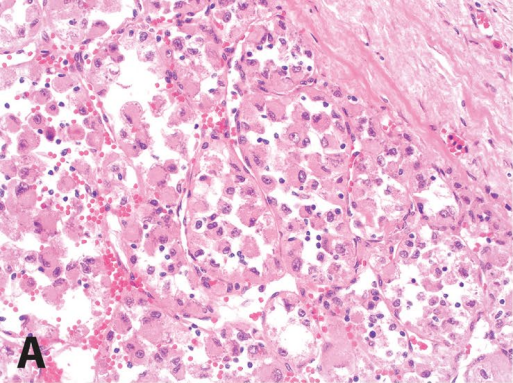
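Tumour of epithelioid cells arranged in alveolar nests separated by thin fibrovascular septa with red blood cells. The cells are polygonal with abundant pink cytoplasm and round nuclei, and within nest centres they lie loosely apart, giving a discohesive appearance. Dense pink collagenous stroma lies at the upper right.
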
